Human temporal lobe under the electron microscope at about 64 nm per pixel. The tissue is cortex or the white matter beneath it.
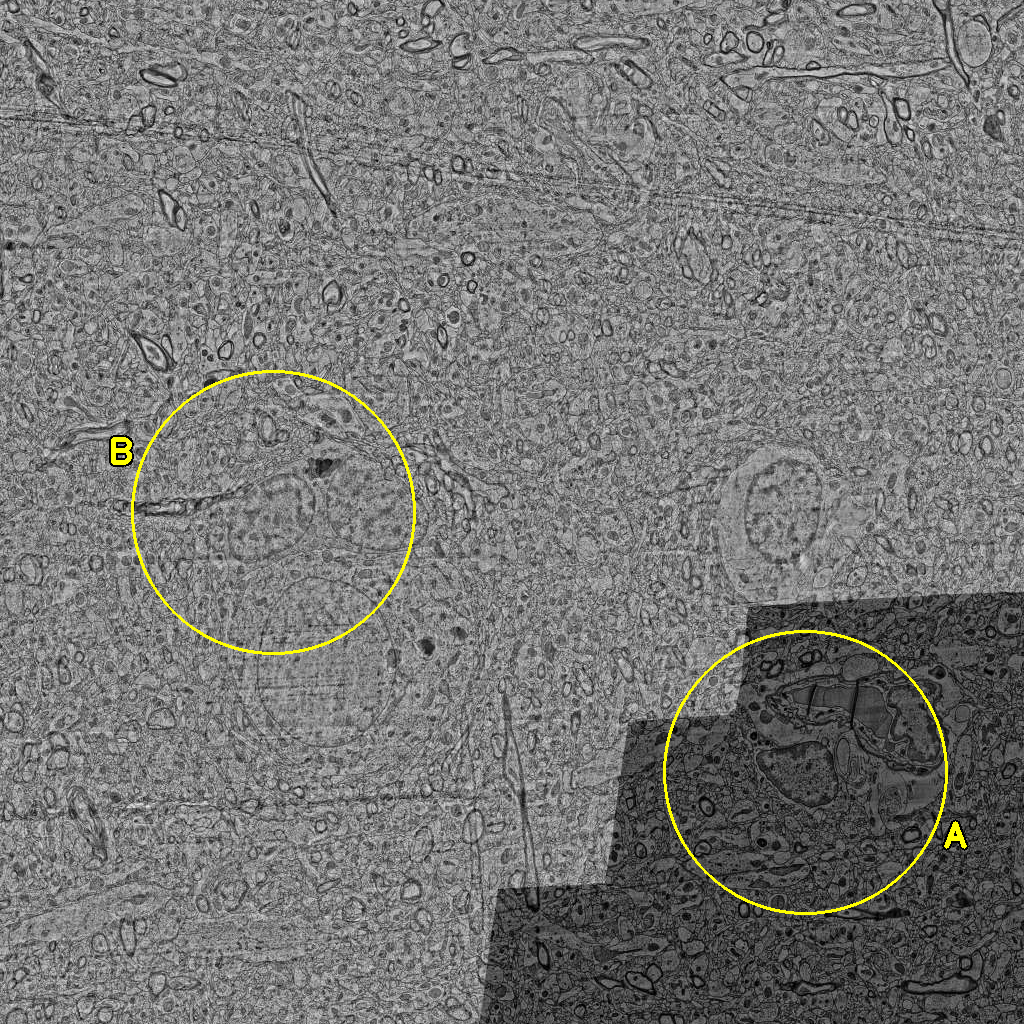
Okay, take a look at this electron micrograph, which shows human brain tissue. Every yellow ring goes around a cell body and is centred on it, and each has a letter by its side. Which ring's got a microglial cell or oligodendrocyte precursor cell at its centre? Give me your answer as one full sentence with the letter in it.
The one you're after is ring A, centred on the cell you asked about.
